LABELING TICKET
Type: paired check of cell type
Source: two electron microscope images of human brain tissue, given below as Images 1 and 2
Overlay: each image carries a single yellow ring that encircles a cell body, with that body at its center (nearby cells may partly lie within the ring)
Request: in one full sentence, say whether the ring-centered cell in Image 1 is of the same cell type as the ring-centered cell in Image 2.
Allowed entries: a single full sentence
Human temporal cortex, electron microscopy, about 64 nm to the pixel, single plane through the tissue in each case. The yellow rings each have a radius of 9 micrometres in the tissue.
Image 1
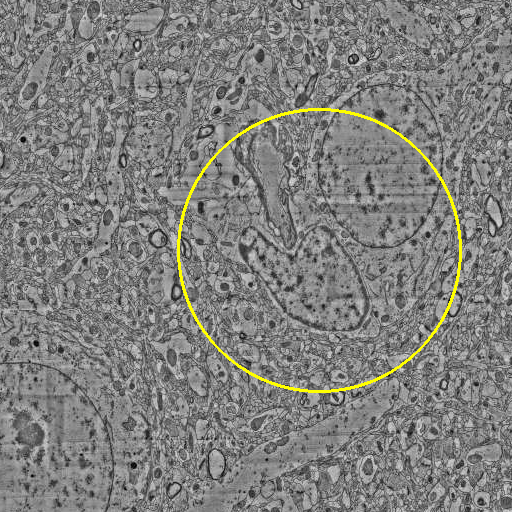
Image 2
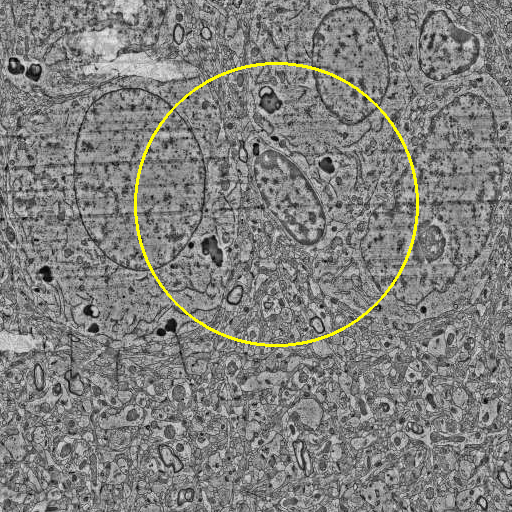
Yes, the cells centered in the rings of Image 1 and Image 2 share one type.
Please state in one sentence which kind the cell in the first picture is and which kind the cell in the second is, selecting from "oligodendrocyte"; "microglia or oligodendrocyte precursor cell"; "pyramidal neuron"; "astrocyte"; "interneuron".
Each of the two cells is a microglial cell or oligodendrocyte precursor cell.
